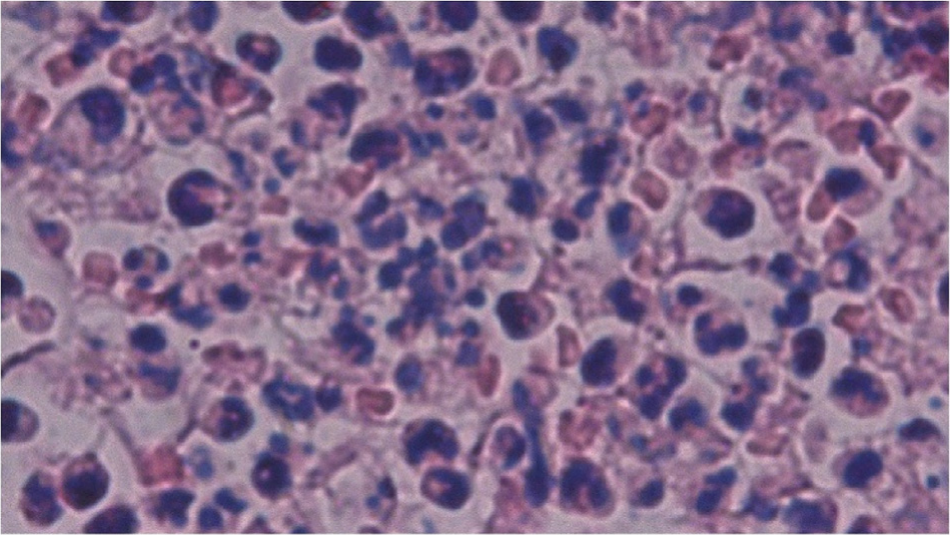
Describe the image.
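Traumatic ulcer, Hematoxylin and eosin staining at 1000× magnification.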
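Scattered among them are rounder cells with single dark nuclei and pink cytoplasm. The spaces between the cells hold a pale, wispy pink material rather than organised tissue.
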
